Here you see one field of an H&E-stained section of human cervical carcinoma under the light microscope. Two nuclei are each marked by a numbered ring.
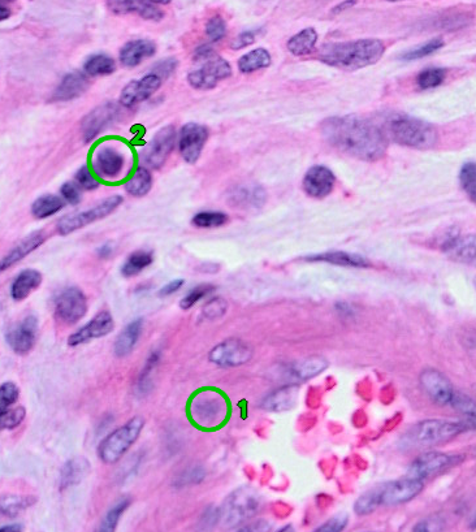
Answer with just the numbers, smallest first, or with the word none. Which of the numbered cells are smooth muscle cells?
1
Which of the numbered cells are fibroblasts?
none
